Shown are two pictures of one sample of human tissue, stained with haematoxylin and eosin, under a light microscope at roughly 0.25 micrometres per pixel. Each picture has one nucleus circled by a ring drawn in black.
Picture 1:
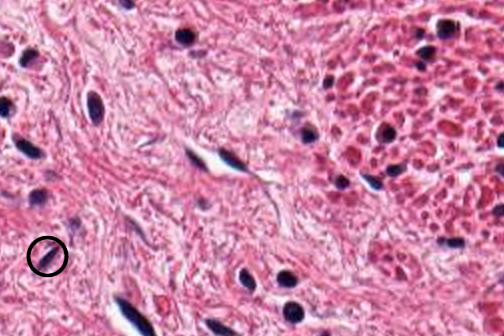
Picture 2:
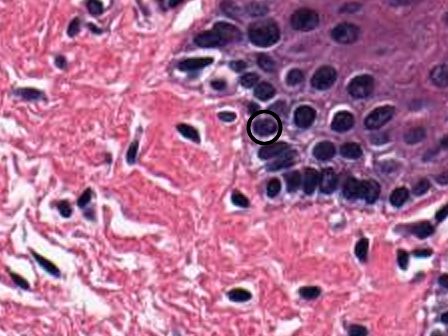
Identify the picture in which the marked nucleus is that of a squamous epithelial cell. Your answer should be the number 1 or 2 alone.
2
